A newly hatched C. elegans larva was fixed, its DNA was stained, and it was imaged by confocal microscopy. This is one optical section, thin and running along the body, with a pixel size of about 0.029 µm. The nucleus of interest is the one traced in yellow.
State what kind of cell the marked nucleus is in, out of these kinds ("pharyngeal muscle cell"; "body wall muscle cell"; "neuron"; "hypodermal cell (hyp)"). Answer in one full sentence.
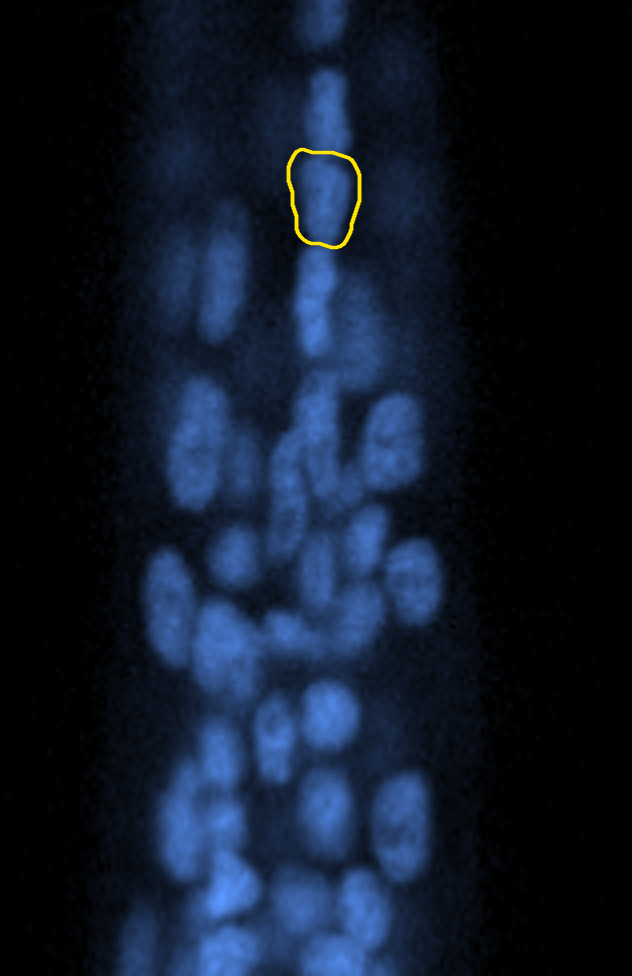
This is the nucleus of a pharyngeal muscle cell.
